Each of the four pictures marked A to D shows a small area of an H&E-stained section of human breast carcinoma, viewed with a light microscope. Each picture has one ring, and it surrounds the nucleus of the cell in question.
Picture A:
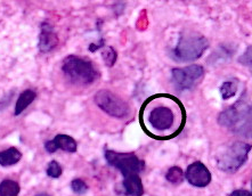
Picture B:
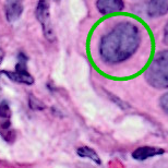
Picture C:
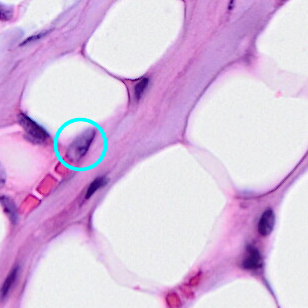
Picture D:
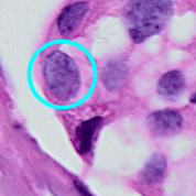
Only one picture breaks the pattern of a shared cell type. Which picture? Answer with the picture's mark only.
C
